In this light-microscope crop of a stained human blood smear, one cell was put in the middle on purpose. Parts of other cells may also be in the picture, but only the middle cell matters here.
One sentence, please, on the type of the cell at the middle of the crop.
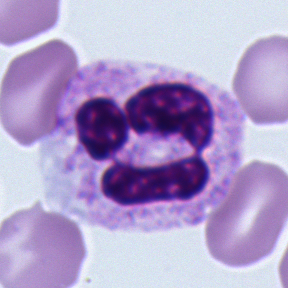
Framed in the middle of the crop is a segmented neutrophil.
